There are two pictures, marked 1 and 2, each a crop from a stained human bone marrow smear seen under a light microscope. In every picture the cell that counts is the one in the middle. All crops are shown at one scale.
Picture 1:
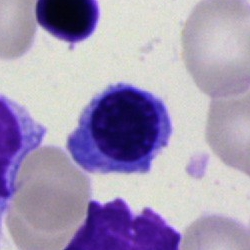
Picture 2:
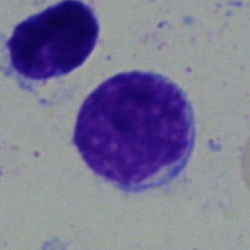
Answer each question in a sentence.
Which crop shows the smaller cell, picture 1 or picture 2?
The cell in picture 1 is smaller; the one in picture 2 has about 2 times its area.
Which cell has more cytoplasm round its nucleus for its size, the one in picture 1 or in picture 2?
Of the two, the nucleus in picture 1 leaves more room for cytoplasm.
